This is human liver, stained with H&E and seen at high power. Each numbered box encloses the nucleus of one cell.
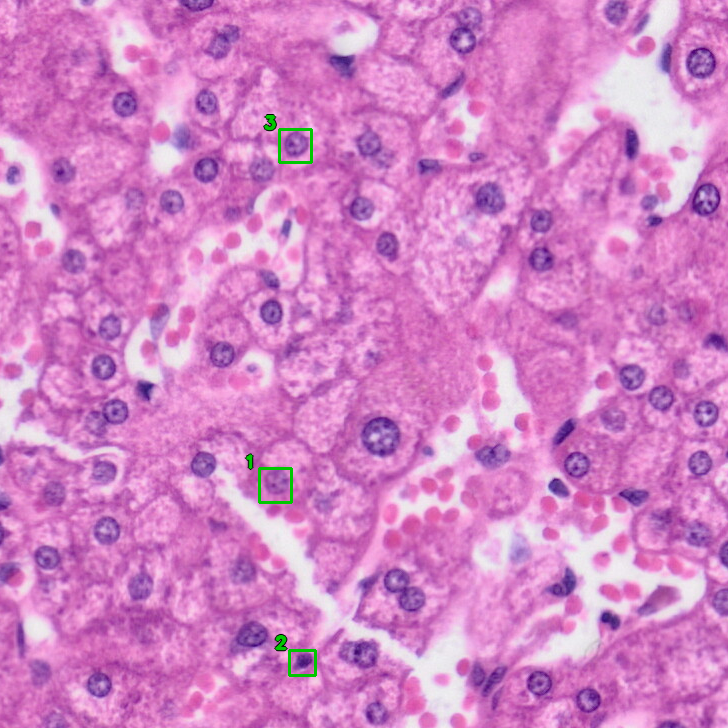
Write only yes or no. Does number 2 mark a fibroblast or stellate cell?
yes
